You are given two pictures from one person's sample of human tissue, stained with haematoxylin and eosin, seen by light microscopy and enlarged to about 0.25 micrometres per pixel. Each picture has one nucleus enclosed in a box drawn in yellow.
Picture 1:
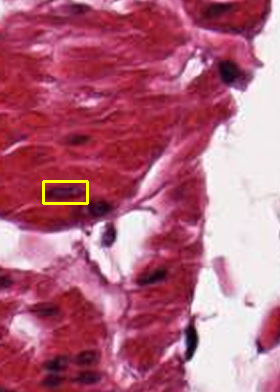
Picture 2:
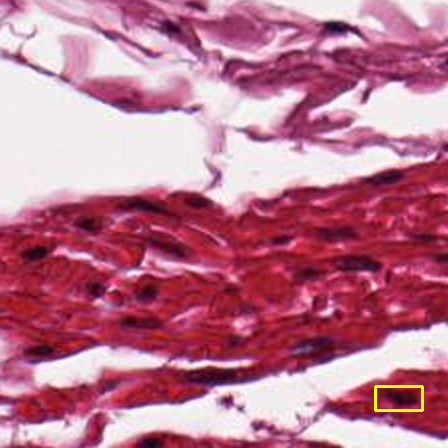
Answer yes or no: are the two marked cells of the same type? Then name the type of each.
Yes, both are smooth muscle cells.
